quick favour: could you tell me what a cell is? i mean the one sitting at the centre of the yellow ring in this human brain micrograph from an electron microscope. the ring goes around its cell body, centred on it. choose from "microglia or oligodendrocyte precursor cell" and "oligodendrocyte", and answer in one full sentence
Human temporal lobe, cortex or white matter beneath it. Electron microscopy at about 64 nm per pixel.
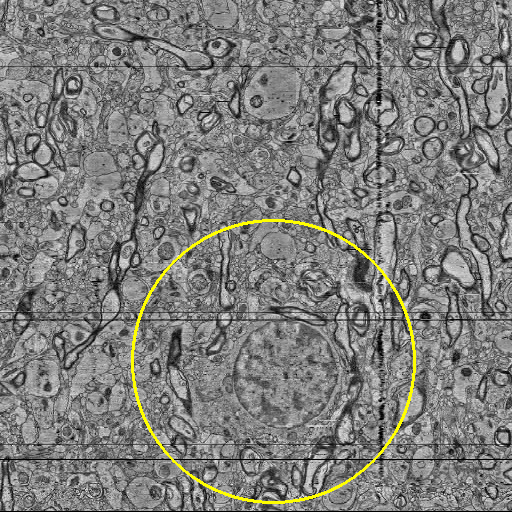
That's an oligodendrocyte, the cell sitting at the centre of the yellow ring.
